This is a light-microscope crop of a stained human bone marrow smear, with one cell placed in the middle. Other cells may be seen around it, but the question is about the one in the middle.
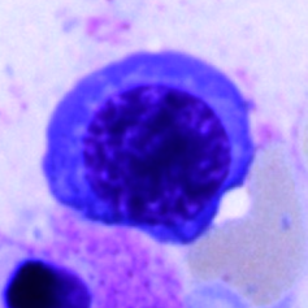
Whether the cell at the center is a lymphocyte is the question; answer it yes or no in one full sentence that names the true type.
No, the cell sitting in the middle is an erythroblast, and it is not a lymphocyte.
